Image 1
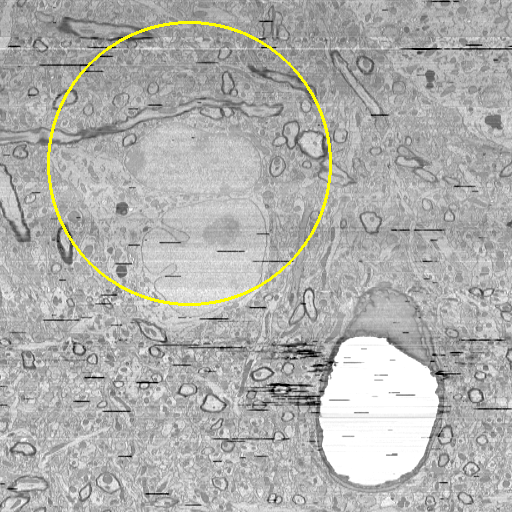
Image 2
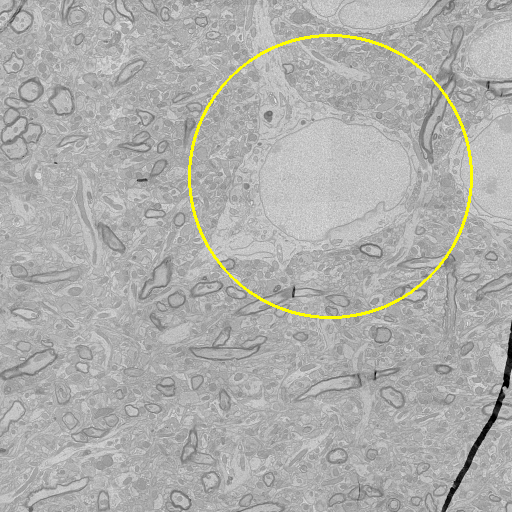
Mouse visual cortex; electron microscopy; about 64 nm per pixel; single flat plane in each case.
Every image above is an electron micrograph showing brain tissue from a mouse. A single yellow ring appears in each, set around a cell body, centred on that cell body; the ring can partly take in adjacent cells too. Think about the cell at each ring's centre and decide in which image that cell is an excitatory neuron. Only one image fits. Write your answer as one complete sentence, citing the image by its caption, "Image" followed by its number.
Image 2 is the one whose ringed central cell fits the description.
